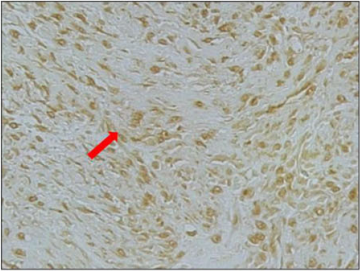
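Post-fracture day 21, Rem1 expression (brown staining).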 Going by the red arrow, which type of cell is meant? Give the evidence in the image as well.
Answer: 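Densely packed elongated cells with brown-stained cytoplasm and nuclei. Cells with tapering ends oriented in streams.
Conclusion: fibroblast-like spindle cells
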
